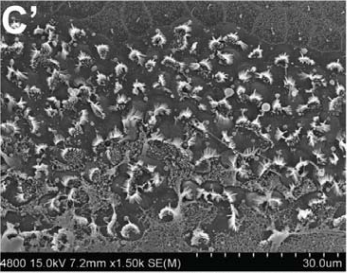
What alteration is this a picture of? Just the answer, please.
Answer: The hair cells were out of order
